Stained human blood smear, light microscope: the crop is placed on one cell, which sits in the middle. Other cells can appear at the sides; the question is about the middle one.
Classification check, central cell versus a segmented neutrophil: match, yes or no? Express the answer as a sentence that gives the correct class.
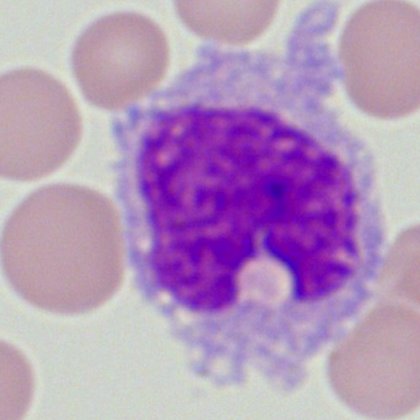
No, the central cell isn't a segmented neutrophil, but a monocyte.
